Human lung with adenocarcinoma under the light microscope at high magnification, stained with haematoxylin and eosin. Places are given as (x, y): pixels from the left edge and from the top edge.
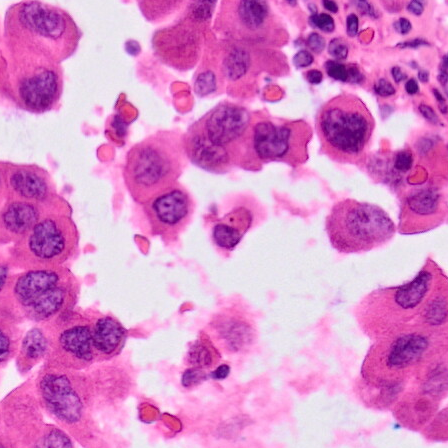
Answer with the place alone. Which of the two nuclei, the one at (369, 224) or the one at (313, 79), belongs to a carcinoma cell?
(369, 224)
